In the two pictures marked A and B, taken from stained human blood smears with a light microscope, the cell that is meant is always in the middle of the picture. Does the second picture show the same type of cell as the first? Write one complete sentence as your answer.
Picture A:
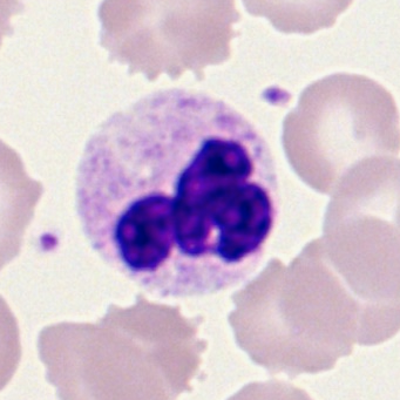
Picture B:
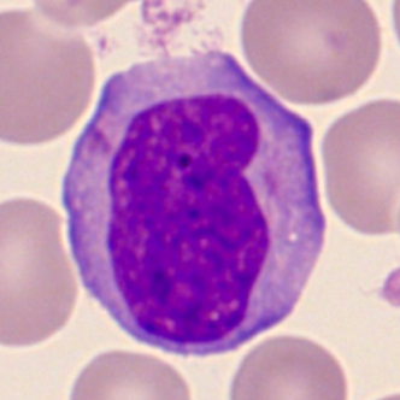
No; the cell in picture A is a segmented neutrophil, while the one in picture B is a monocyte.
